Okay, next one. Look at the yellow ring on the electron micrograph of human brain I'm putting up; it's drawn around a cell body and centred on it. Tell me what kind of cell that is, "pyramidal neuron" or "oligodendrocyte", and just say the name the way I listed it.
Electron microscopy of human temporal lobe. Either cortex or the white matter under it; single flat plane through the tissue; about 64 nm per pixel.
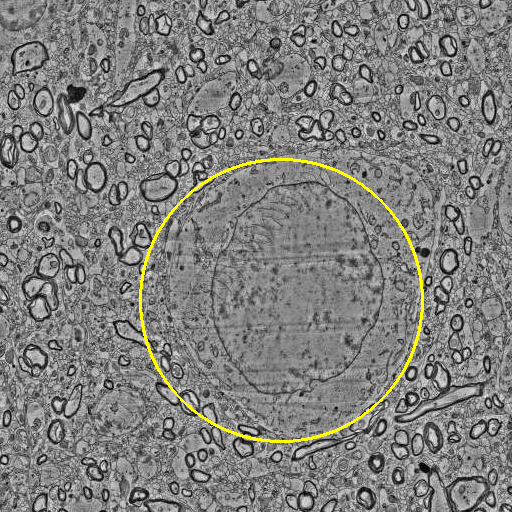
pyramidal neuron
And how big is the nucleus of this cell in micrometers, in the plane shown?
The ringed cell's nucleus measures approximately 14 by 11 micrometres in this plane.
